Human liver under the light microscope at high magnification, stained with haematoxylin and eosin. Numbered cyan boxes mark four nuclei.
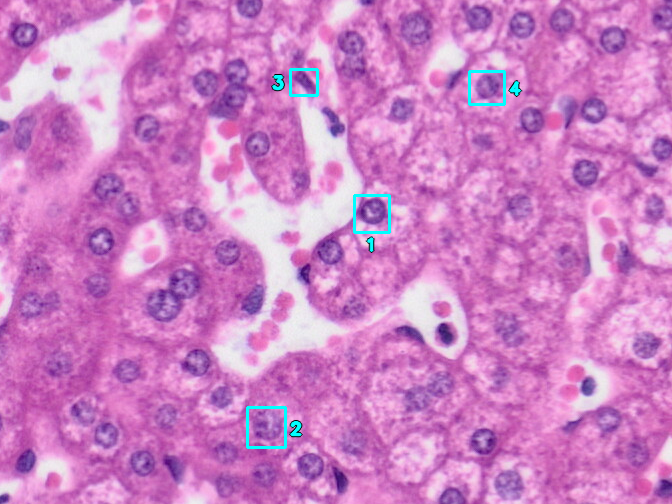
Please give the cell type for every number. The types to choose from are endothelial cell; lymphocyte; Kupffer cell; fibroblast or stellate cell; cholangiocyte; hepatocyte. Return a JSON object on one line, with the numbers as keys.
{"1": "hepatocyte", "2": "hepatocyte", "3": "Kupffer cell", "4": "hepatocyte"}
